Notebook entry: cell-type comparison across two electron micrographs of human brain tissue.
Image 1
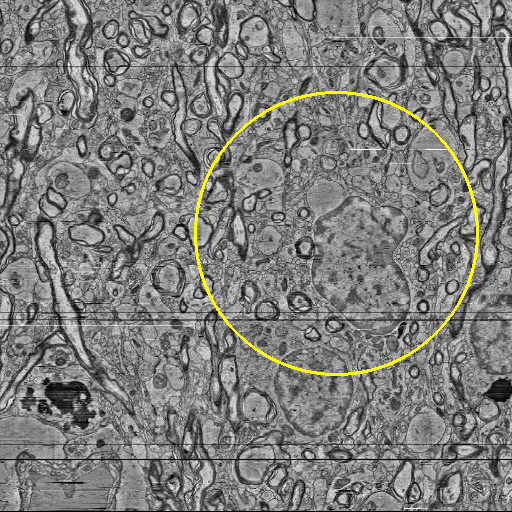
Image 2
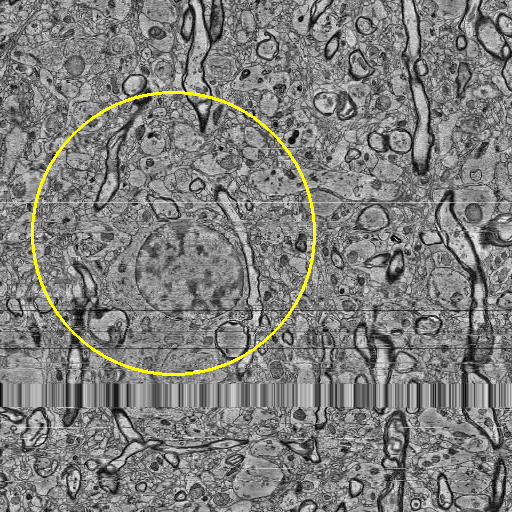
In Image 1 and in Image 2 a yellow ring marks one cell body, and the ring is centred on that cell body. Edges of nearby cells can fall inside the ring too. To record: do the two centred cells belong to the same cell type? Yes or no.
no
